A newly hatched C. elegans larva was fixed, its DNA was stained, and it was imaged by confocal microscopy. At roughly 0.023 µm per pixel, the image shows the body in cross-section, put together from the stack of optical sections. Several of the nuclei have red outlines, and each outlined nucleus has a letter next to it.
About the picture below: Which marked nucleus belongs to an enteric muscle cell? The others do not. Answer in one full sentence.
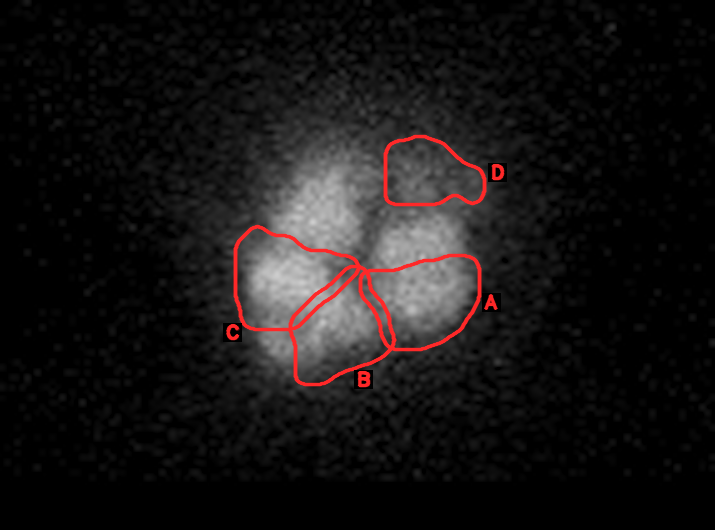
B is the one that belongs to an enteric muscle cell.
